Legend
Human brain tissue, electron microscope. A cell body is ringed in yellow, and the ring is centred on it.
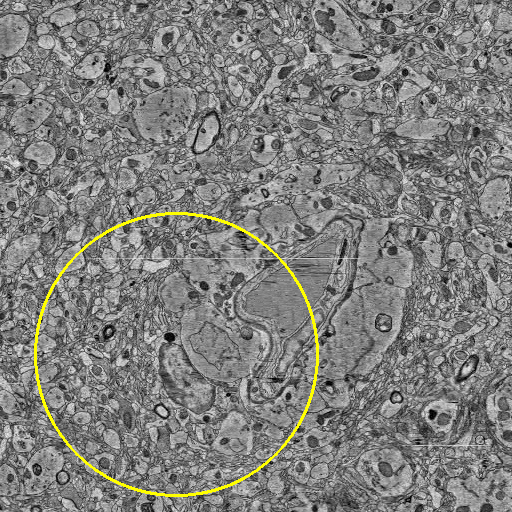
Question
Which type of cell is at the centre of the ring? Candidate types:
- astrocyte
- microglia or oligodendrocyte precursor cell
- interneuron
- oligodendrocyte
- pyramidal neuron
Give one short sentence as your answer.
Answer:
The yellow ring is centred here on a microglial cell or oligodendrocyte precursor cell.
